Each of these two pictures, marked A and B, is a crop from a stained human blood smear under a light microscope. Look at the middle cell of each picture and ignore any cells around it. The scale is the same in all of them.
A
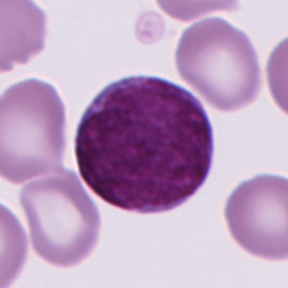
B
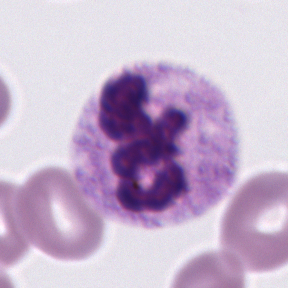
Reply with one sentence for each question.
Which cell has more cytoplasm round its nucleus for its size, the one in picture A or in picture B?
In picture B the nucleus takes up the smaller part of its cell.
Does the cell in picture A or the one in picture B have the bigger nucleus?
It is the nucleus in picture A, about 2 times as large in area as the one in picture B.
